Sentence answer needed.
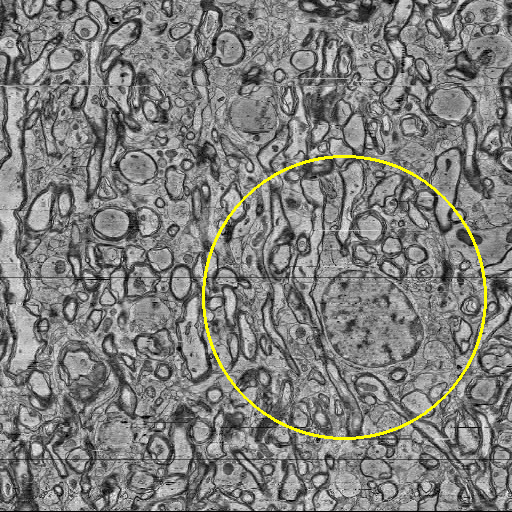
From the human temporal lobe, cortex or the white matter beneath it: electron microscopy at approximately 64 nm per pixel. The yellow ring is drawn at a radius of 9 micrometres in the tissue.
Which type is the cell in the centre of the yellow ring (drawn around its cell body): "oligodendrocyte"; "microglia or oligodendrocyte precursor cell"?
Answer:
In the centre of the yellow ring is a microglial cell or oligodendrocyte precursor cell.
